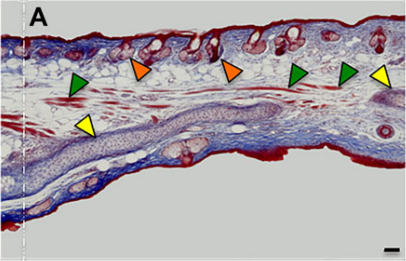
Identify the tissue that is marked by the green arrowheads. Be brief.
Muscle.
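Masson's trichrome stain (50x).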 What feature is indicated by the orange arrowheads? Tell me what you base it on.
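Rounded and oval red-stained structures sit just beneath the upper surface. They are regularly spaced along the surface layer.
Conclusion: hair follicles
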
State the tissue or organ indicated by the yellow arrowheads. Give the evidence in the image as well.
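The plate contains evenly spaced small cells in rounded spaces. So: cartilage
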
